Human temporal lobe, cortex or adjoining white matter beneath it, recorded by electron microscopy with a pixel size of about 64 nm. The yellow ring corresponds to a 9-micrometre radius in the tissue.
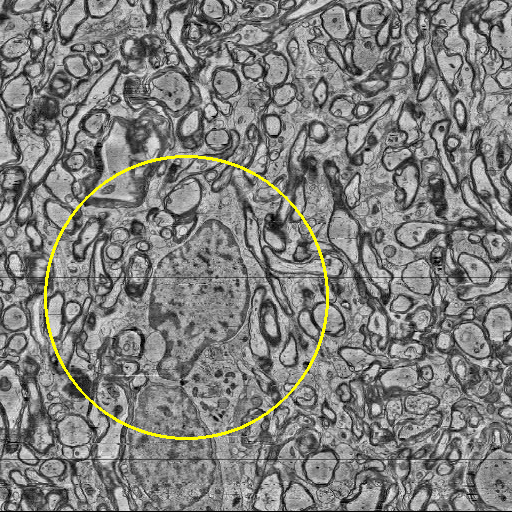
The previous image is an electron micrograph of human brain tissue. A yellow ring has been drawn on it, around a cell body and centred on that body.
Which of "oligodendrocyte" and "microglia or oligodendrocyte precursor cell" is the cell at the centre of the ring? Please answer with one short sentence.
The cell body at the centre of the ring belongs to a microglial cell or oligodendrocyte precursor cell.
